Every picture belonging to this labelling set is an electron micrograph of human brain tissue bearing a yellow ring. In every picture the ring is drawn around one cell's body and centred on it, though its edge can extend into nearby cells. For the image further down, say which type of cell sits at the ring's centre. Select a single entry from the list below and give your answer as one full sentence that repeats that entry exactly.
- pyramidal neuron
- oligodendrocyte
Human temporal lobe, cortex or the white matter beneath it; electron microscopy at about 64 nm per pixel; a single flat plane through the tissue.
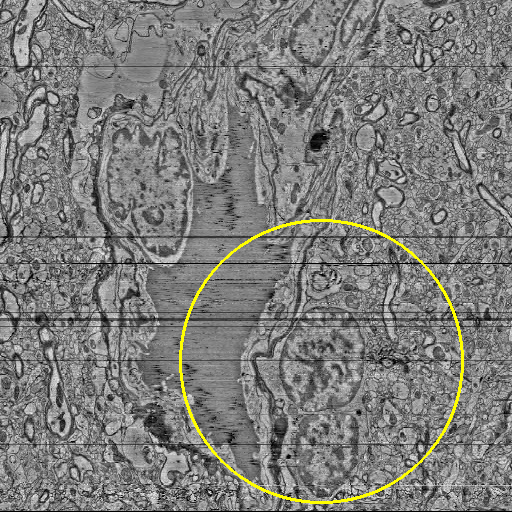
In the picture, an oligodendrocyte is the cell at the centre of the yellow ring.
